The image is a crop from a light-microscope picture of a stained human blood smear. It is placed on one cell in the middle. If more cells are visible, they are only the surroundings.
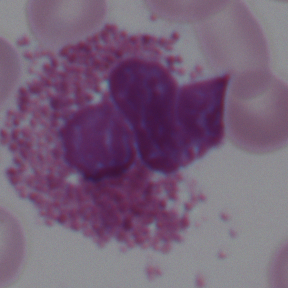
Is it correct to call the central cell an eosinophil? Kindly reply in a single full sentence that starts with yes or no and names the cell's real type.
Yes, the cell under consideration, the one in the middle, is an eosinophil.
